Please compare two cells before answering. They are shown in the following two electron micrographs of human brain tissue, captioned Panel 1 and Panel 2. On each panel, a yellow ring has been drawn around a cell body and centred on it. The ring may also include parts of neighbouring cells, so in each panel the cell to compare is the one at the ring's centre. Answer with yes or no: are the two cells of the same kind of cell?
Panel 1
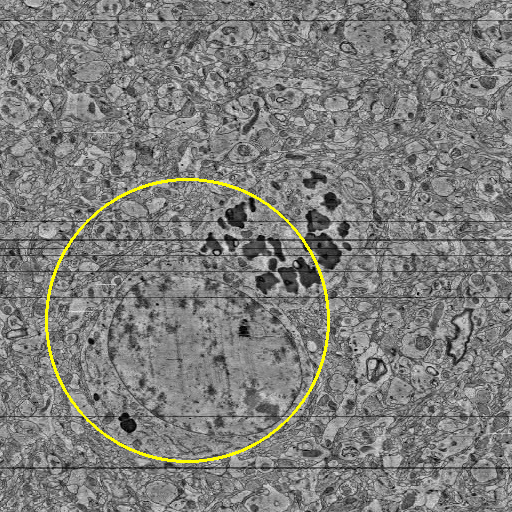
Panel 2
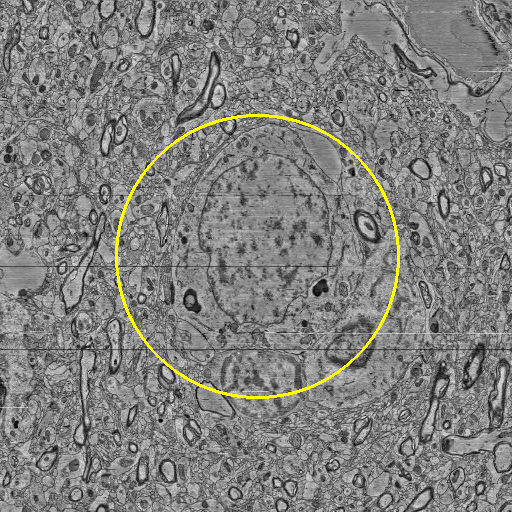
yes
